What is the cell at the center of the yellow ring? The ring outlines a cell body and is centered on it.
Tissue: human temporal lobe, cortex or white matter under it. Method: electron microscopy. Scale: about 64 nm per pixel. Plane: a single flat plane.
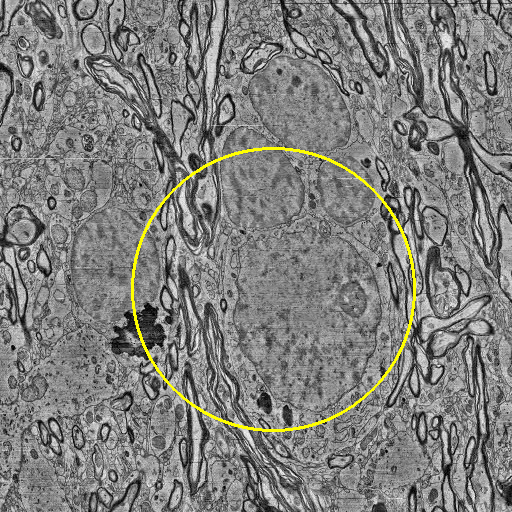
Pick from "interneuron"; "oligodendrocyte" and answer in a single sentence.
The yellow ring is centered on an interneuron.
